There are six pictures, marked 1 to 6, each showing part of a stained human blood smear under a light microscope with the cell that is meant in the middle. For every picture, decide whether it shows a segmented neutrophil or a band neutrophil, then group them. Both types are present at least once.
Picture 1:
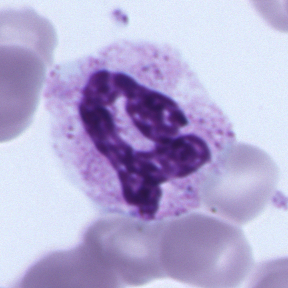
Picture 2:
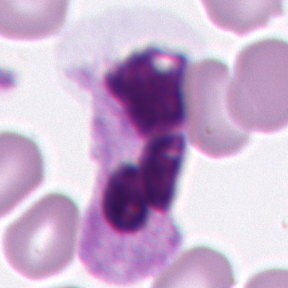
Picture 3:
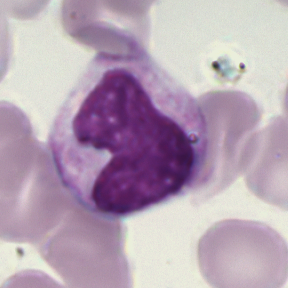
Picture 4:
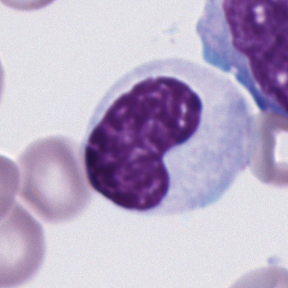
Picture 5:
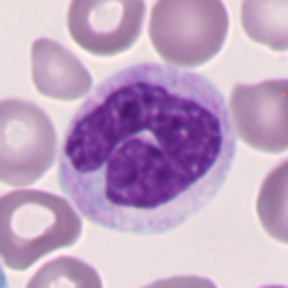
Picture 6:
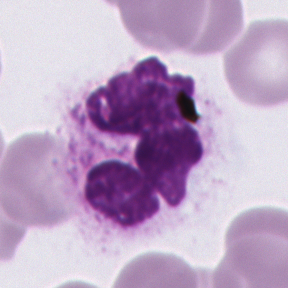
1: segmented neutrophil
2: segmented neutrophil
3: band neutrophil
4: band neutrophil
5: band neutrophil
6: segmented neutrophil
